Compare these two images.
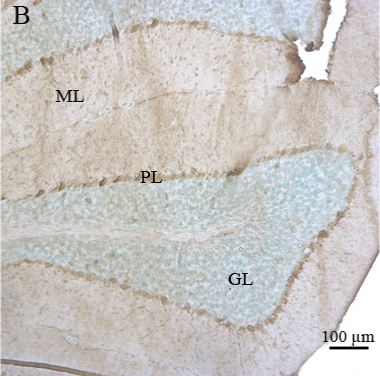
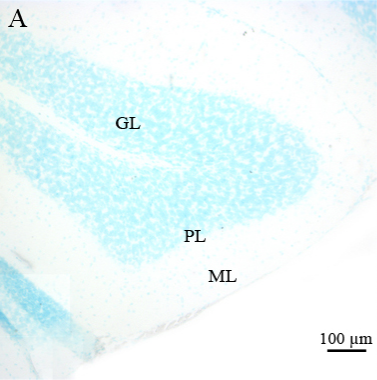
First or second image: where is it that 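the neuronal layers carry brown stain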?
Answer: The first image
